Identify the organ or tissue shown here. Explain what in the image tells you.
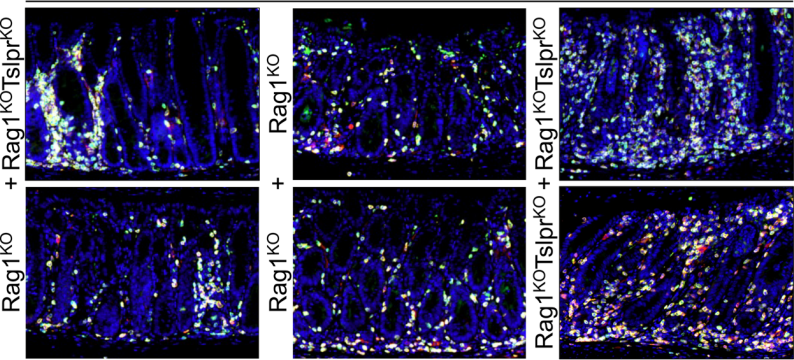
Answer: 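Parallel tubular crypts outlined in blue. No villi projecting from the mucosal surface. On this evidence: colons.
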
